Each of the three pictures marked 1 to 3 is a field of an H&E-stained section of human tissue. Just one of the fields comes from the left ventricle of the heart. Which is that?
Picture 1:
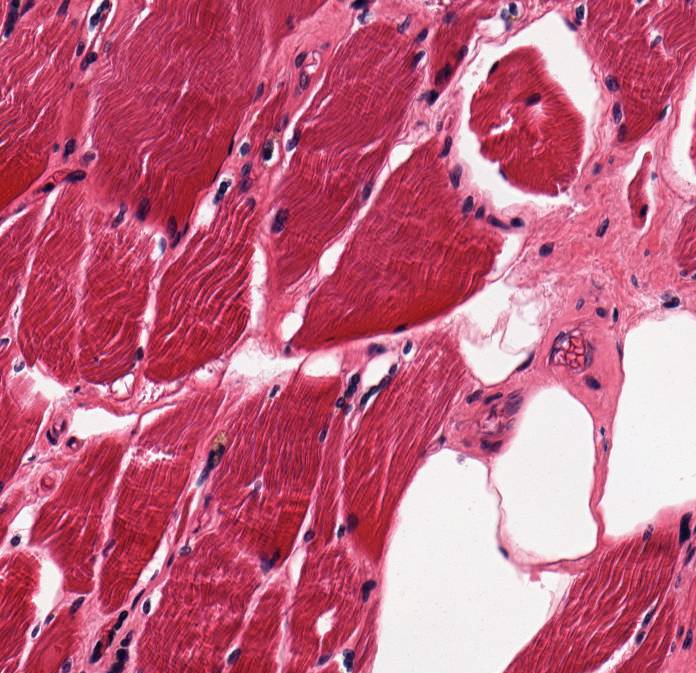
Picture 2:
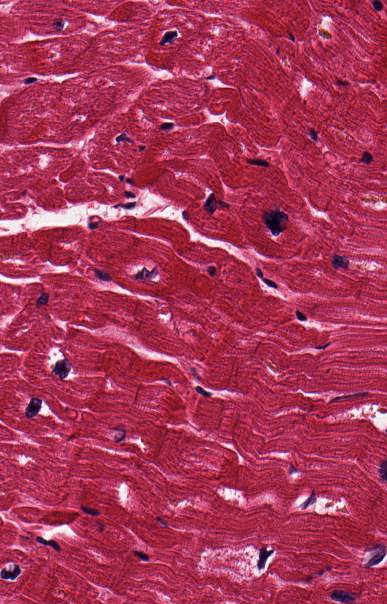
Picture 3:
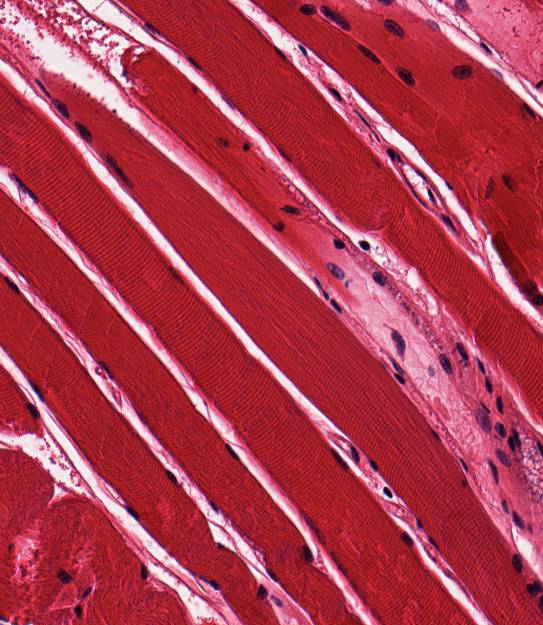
2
